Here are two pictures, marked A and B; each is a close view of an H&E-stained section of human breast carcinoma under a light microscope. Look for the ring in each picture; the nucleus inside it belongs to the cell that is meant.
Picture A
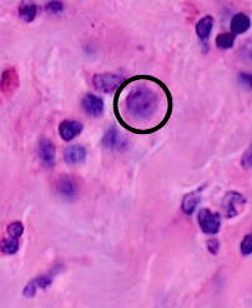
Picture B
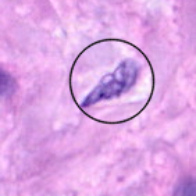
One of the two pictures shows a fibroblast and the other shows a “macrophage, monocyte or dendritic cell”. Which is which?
A: macrophage, monocyte or dendritic cell
B: fibroblast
